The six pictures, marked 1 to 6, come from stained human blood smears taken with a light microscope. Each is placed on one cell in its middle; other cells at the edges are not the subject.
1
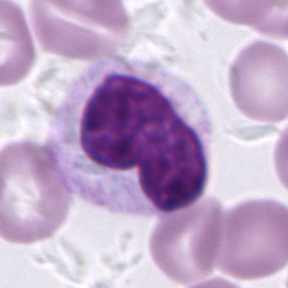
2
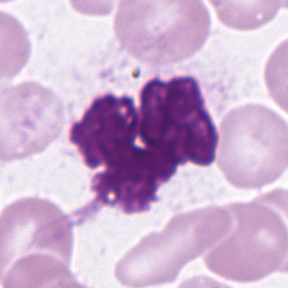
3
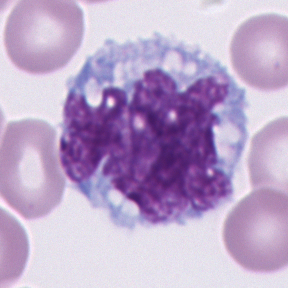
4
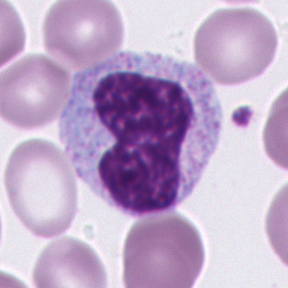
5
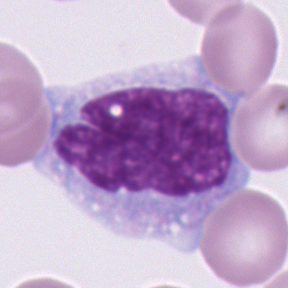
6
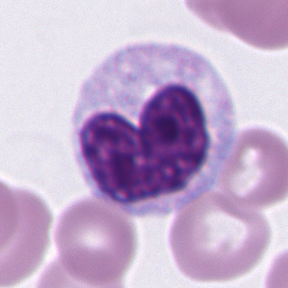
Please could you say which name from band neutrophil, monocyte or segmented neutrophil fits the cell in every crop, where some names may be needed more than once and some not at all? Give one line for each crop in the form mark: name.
1: band neutrophil
2: segmented neutrophil
3: monocyte
4: band neutrophil
5: monocyte
6: band neutrophil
